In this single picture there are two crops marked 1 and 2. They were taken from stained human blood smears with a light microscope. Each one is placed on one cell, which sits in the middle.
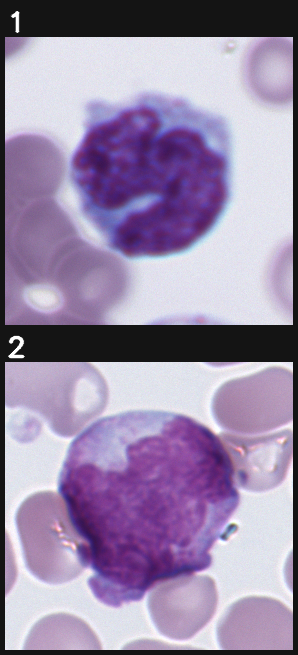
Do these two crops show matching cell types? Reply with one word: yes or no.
no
